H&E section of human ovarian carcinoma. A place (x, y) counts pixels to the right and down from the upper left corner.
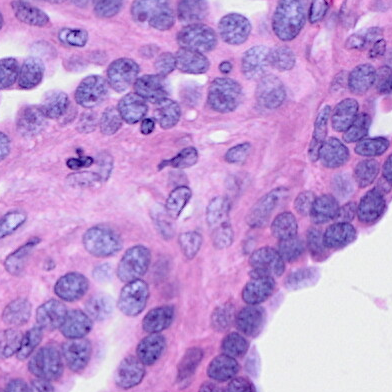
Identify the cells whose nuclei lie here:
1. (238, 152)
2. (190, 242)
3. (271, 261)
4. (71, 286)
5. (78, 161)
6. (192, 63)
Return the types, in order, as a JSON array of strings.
["fibroblast", "fibroblast", "carcinoma cell", "carcinoma cell", "lymphocyte", "carcinoma cell"]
